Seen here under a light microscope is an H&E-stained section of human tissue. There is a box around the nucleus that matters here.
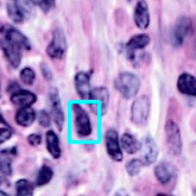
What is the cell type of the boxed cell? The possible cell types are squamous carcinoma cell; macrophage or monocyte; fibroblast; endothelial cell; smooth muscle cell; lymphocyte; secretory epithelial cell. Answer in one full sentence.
Cell type answer for this item: the boxed cell is a lymphocyte.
